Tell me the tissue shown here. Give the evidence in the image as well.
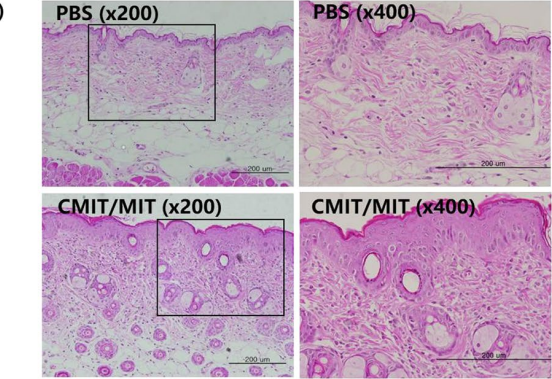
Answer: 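A thin stratified epithelium covers the top surface. Hair follicles and glands lie in the pink connective tissue beneath. Muscle fibres appear at the bottom of the upper left image. So: skin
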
